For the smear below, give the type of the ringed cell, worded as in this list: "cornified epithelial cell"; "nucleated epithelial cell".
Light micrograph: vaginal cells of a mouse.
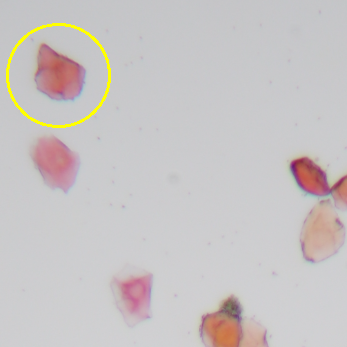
cornified epithelial cell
